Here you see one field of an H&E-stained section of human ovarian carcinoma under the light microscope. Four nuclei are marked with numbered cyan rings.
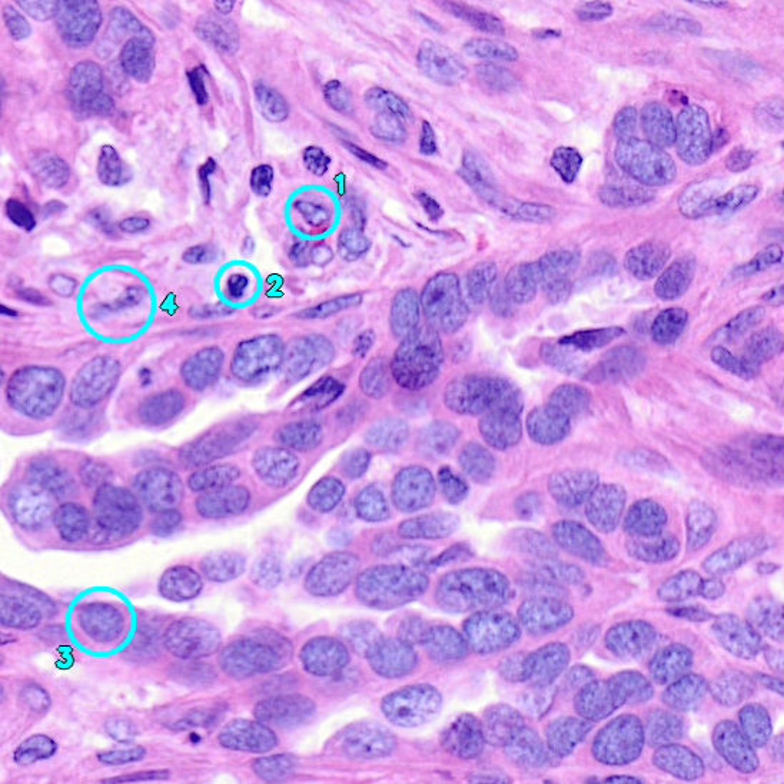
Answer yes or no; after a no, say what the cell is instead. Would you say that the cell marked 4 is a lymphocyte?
No, it is a fibroblast.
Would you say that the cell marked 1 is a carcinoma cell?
No, it is an endothelial cell.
